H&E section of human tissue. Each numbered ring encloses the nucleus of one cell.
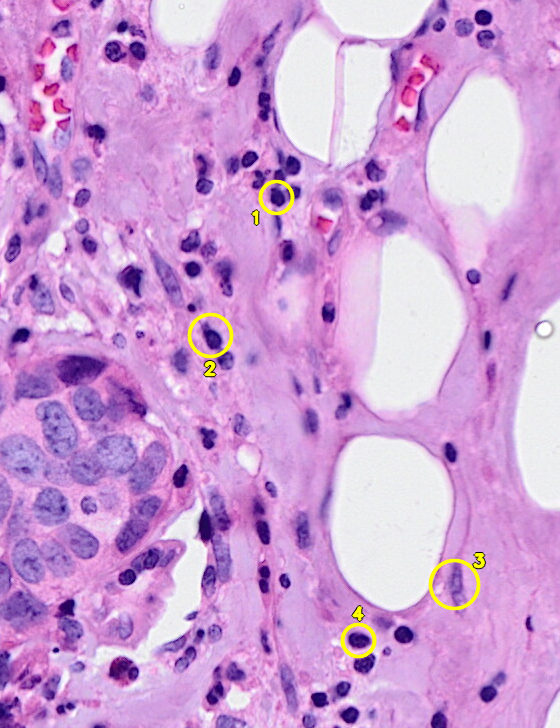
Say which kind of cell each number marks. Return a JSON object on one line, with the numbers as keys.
{"1": "lymphocyte", "2": "lymphocyte", "3": "fibroblast", "4": "lymphocyte"}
